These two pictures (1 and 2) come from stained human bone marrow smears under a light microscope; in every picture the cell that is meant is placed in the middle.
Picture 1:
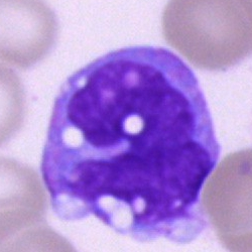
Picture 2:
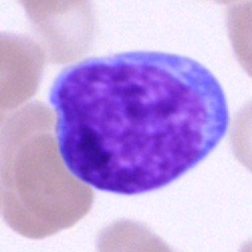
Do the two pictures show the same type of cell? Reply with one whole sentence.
No, they differ: the cell is a monocyte in picture 1 and a blast in picture 2.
